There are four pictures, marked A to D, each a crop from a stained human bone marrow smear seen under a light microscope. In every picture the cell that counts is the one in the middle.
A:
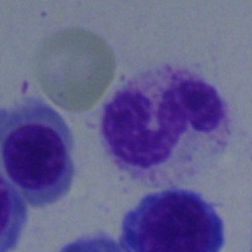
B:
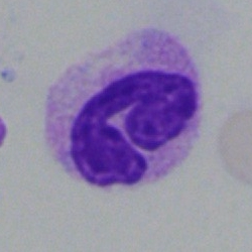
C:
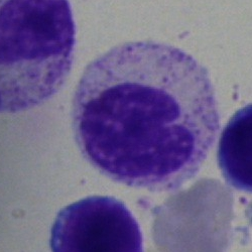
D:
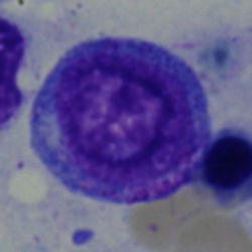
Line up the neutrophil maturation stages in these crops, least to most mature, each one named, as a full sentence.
Listed from least to most mature, the crops read crop D (a promyelocyte), crop C (a myelocyte), crop B (a band neutrophil) and crop A (a segmented neutrophil).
